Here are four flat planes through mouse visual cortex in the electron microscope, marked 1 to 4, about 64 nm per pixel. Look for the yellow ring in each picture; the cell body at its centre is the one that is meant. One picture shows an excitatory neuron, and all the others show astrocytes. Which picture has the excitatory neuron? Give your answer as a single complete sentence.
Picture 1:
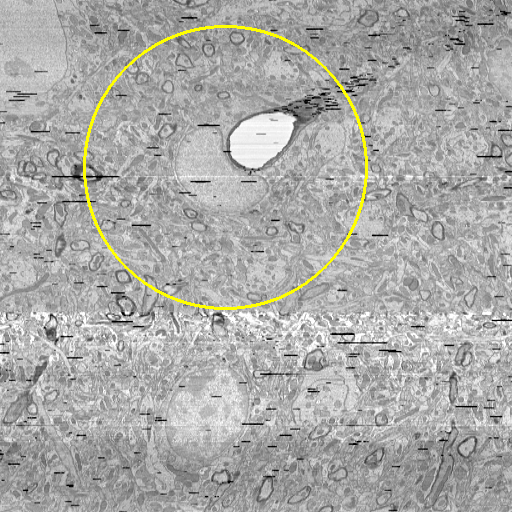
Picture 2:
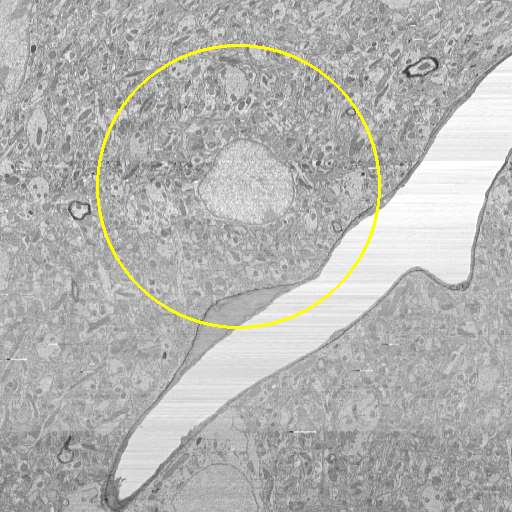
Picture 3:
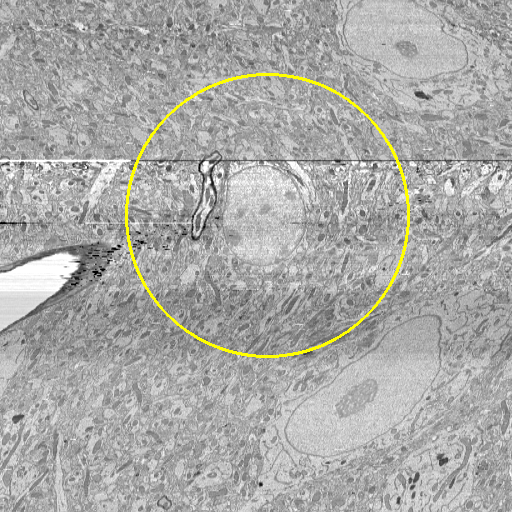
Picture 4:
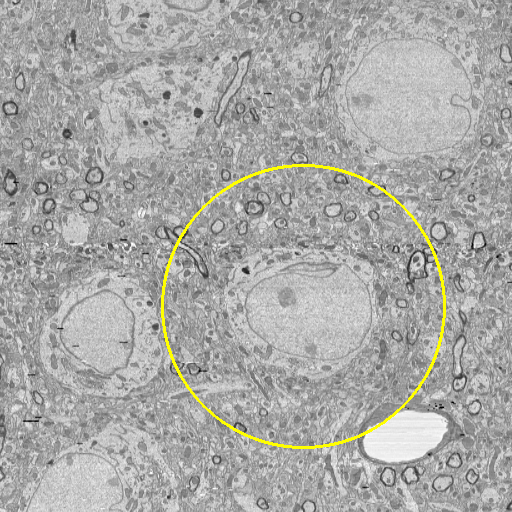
The picture with the excitatory neuron is 4.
